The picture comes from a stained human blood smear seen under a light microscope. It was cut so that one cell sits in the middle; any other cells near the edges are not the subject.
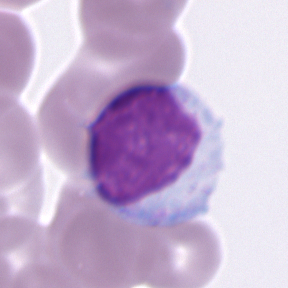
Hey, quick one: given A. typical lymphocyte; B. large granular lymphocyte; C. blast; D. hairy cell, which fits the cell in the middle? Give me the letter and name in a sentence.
Option B correctly names the cell in the middle as a large granular lymphocyte.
